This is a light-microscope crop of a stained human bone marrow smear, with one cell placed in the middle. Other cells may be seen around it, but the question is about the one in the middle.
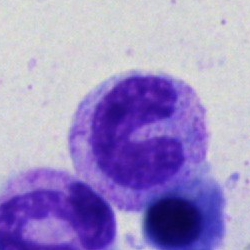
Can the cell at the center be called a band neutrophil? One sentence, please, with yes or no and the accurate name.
Yes, the central cell is to be recorded as a band neutrophil.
